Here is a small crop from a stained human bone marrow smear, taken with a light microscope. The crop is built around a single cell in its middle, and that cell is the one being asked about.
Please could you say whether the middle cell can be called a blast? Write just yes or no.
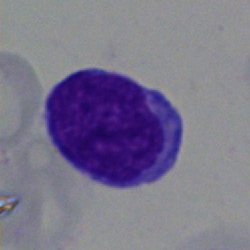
yes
